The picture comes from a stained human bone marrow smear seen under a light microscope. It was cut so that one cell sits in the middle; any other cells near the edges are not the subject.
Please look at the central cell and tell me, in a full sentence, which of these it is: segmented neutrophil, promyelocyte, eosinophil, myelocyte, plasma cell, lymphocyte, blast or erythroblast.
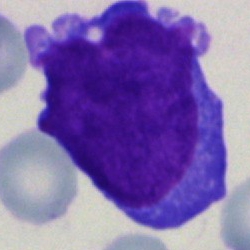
As for the cell in the middle, it is a blast.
